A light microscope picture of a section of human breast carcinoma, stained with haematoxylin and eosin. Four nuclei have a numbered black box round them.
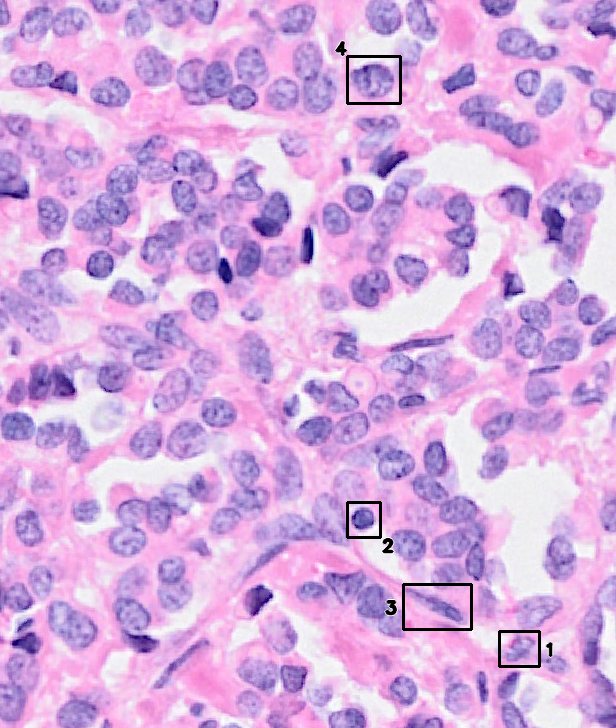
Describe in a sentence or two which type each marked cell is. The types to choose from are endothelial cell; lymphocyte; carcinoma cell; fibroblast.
Cell 1 is an endothelial cell, cell 2 is a lymphocyte, cell 3 is an endothelial cell and cell 4 is a carcinoma cell.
